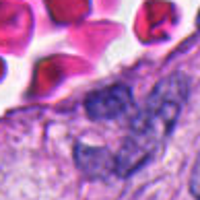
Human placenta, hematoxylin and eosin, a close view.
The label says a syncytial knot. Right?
Wrong: this is a vascular myocyte.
